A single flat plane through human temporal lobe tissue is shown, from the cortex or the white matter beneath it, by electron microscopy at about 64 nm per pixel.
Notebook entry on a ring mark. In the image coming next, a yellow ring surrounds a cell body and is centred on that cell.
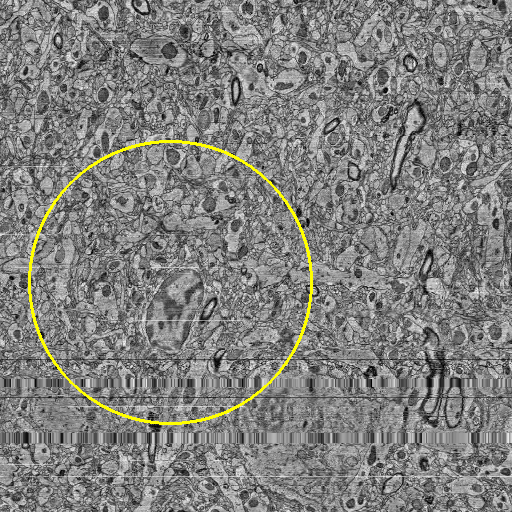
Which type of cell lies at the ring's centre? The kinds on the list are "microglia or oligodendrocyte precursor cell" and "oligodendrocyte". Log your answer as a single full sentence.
Centred in the yellow ring is a microglial cell or oligodendrocyte precursor cell, the cell recorded for this image.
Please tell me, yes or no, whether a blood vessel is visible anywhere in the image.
No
